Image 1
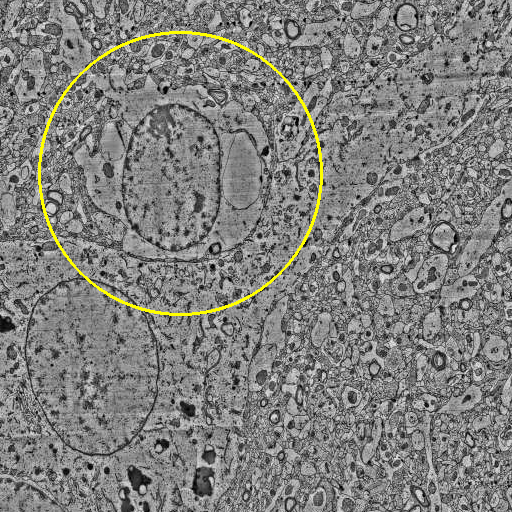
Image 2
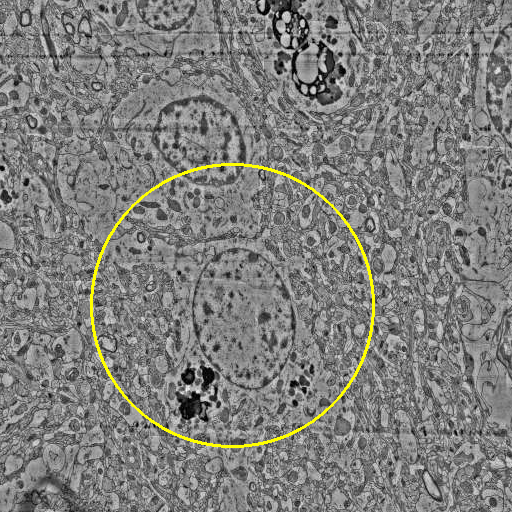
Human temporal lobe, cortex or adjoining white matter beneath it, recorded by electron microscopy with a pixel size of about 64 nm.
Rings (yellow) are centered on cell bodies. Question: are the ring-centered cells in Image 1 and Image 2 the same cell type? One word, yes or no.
yes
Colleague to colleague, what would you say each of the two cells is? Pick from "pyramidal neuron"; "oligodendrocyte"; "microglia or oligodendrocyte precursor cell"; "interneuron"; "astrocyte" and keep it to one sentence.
Each of the two pictures has an astrocyte at the ring centre.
